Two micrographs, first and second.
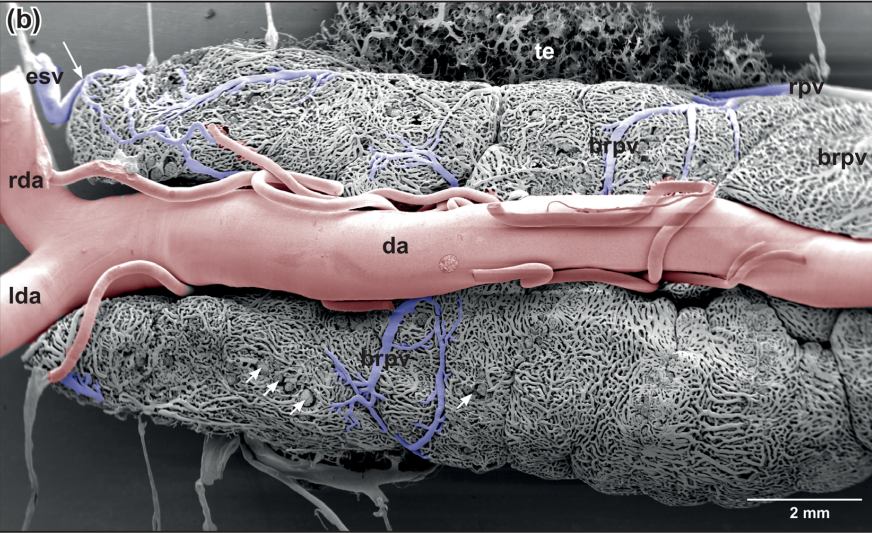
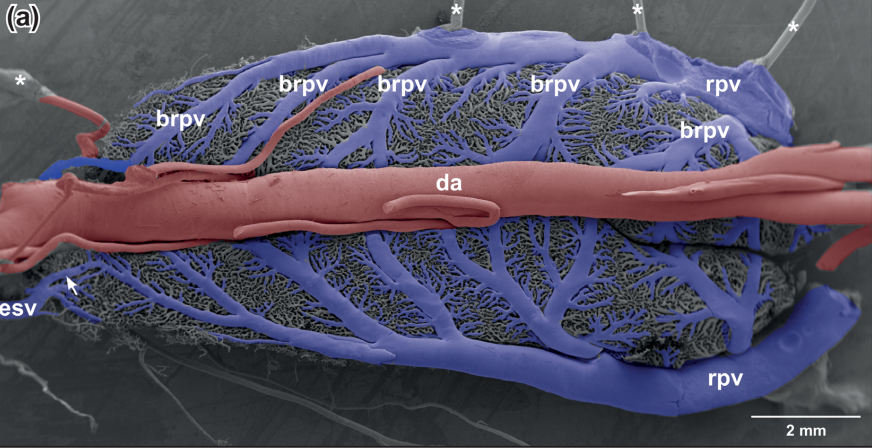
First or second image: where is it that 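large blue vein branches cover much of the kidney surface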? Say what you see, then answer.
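The second image. First image: only a few small, sparse blue vessels lie on the capillary meshwork. Second image: many thick branching blue vessels spread over both kidneys.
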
